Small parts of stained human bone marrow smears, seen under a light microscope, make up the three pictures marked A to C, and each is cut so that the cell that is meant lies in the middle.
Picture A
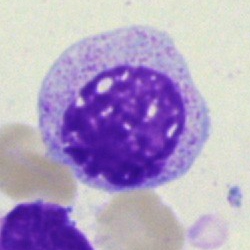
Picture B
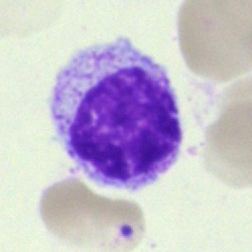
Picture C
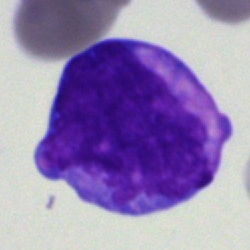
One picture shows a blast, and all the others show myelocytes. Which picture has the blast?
C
